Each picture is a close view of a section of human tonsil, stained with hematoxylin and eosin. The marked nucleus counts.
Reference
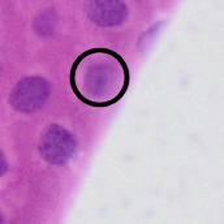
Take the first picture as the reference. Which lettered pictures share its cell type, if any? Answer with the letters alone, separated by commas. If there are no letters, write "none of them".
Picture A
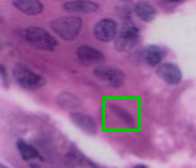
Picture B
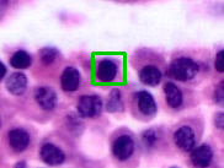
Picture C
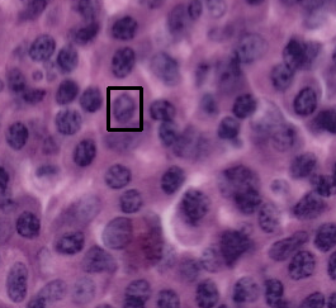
A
